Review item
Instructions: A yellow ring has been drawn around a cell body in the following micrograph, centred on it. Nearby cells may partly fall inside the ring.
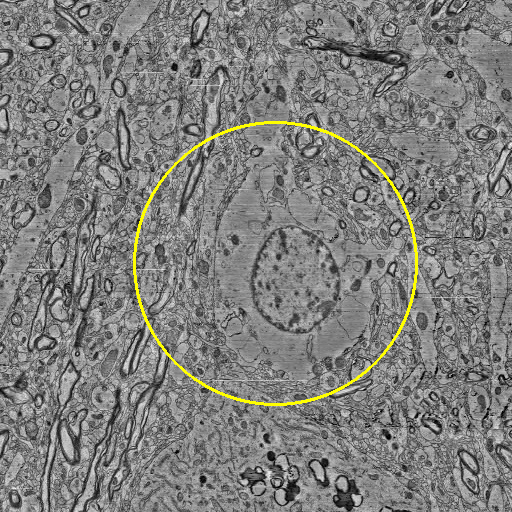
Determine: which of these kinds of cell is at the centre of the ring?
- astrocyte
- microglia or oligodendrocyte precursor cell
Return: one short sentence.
The cell body in the middle of the ring is that of an astrocyte.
